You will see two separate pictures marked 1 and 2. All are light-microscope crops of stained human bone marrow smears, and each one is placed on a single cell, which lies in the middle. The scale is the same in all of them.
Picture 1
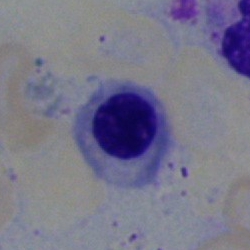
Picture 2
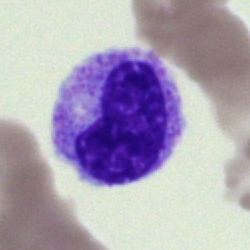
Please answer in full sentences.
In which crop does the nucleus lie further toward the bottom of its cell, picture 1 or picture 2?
Seen within its cell, the nucleus in picture 2 lies further toward the bottom.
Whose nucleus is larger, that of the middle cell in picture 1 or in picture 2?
Picture 2 shows the larger nucleus; it covers about 2.5 times the area of the nucleus in picture 1.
